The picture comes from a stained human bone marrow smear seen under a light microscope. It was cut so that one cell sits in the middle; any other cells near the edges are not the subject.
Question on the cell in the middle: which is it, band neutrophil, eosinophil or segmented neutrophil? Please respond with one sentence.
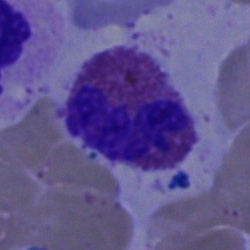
The crop centres on a single cell, and that cell is an eosinophil.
